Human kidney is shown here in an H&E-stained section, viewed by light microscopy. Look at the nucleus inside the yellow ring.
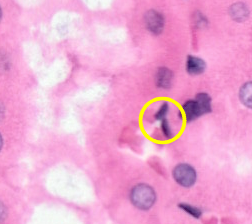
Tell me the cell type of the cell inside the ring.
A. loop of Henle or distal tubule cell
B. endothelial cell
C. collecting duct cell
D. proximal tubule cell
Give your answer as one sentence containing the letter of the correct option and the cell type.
Option B is the correct one, since the cell inside the ring is an endothelial cell.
